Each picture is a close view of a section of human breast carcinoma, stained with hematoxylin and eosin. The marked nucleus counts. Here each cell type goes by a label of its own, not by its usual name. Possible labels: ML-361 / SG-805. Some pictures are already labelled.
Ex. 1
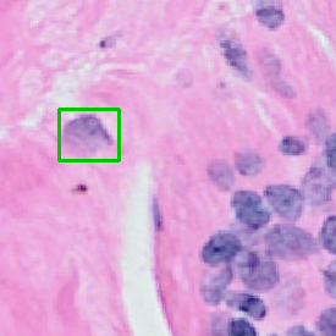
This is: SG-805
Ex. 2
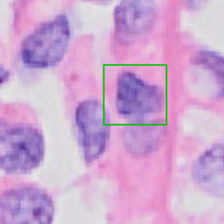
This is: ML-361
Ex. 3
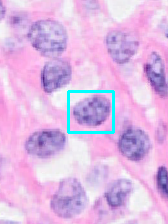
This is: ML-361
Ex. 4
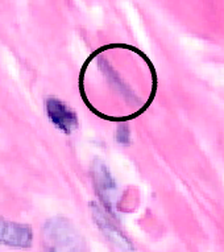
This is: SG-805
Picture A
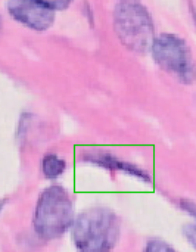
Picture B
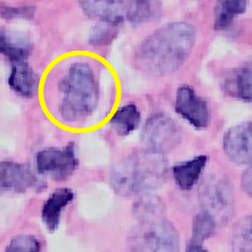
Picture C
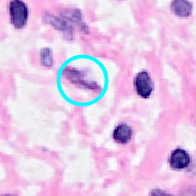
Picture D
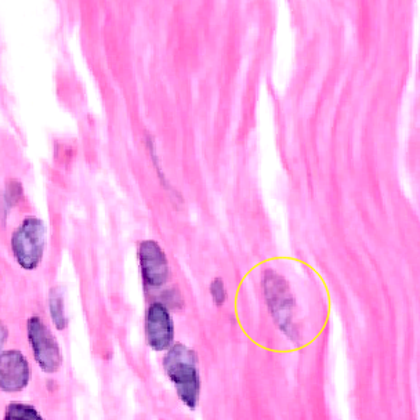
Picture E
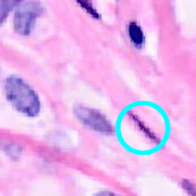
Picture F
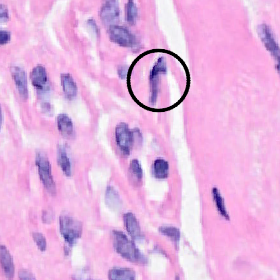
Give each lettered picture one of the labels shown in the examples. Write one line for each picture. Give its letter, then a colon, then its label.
A: SG-805
B: ML-361
C: SG-805
D: SG-805
E: SG-805
F: SG-805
